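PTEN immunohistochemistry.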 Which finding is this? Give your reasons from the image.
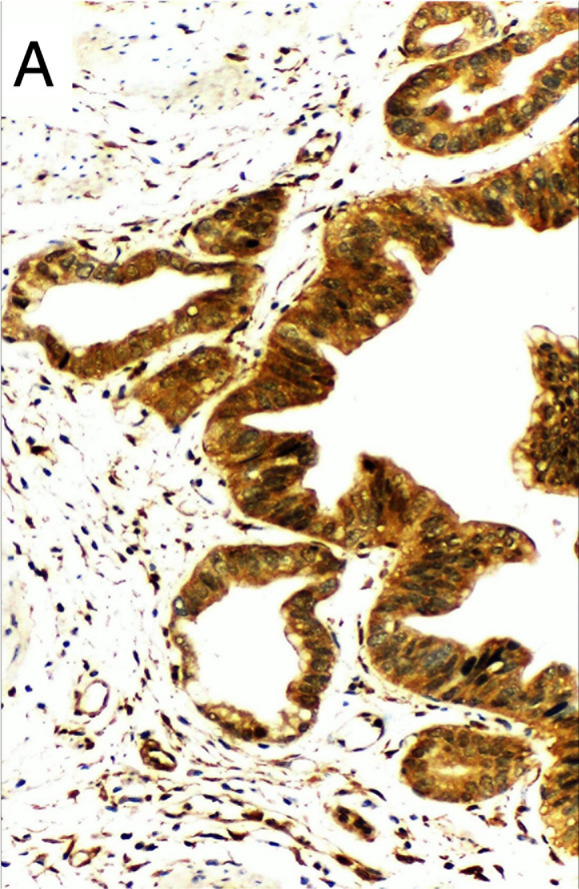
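Irregular gland-like structures lined by tall columnar cells around open lumina. Crowded, enlarged, stratified nuclei in the lining epithelium. Glands lie within loose fibrous stroma.
Answer: adenocarcinoma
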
